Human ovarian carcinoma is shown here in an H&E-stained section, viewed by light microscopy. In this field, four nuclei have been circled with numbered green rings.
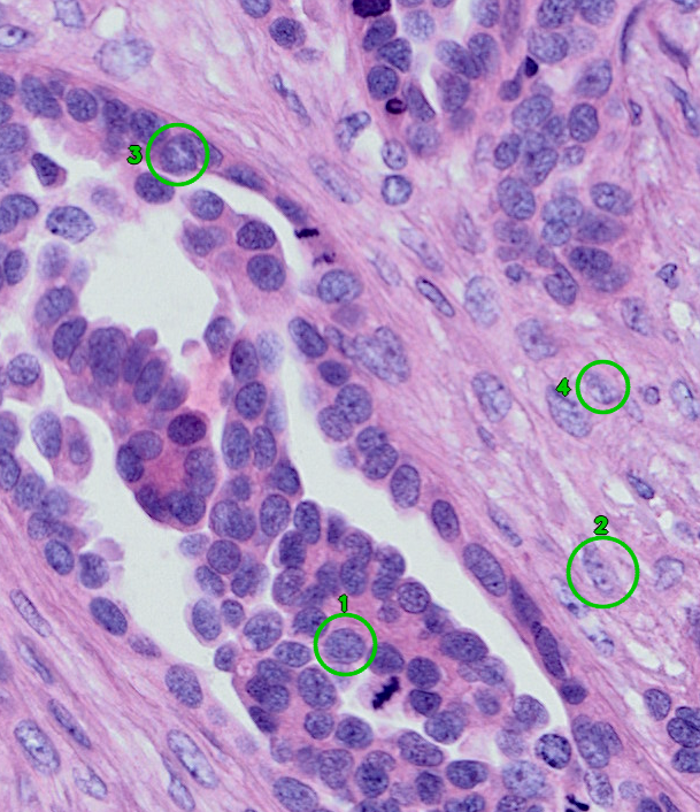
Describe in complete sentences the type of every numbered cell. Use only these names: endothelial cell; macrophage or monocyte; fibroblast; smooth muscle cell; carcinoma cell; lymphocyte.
Cell 1 is a carcinoma cell, cell 2 is a fibroblast, cell 3 is a carcinoma cell and cell 4 is a fibroblast.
